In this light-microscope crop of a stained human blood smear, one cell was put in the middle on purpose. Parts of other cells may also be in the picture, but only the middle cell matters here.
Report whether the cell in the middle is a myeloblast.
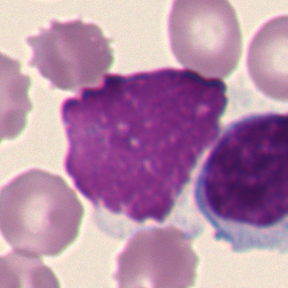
no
